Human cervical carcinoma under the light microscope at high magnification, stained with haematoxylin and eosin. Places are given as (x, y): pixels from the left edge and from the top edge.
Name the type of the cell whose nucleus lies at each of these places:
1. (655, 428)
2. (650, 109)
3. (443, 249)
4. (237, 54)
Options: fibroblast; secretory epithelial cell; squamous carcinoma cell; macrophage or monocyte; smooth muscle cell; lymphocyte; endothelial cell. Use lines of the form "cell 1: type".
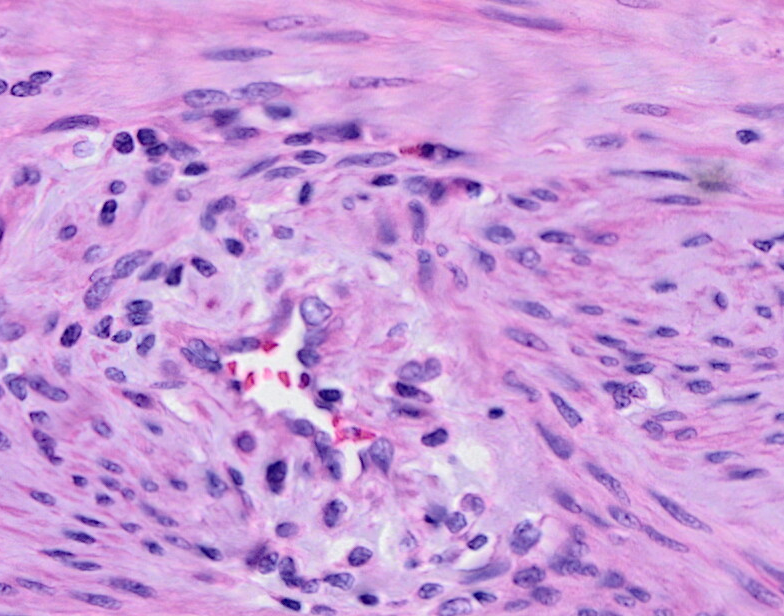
cell 1: smooth muscle cell
cell 2: smooth muscle cell
cell 3: smooth muscle cell
cell 4: fibroblast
